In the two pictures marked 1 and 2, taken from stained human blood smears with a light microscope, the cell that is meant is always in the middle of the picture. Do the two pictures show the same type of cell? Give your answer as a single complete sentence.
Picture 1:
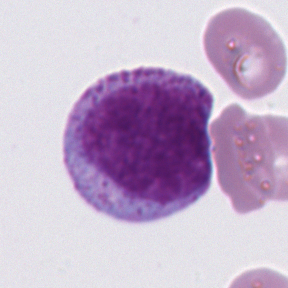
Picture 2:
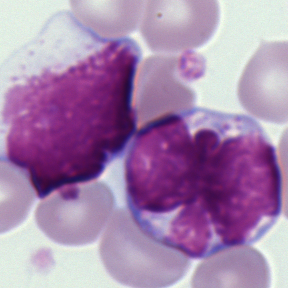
No, they differ: the cell is a myelocyte in picture 1 and a large granular lymphocyte in picture 2.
